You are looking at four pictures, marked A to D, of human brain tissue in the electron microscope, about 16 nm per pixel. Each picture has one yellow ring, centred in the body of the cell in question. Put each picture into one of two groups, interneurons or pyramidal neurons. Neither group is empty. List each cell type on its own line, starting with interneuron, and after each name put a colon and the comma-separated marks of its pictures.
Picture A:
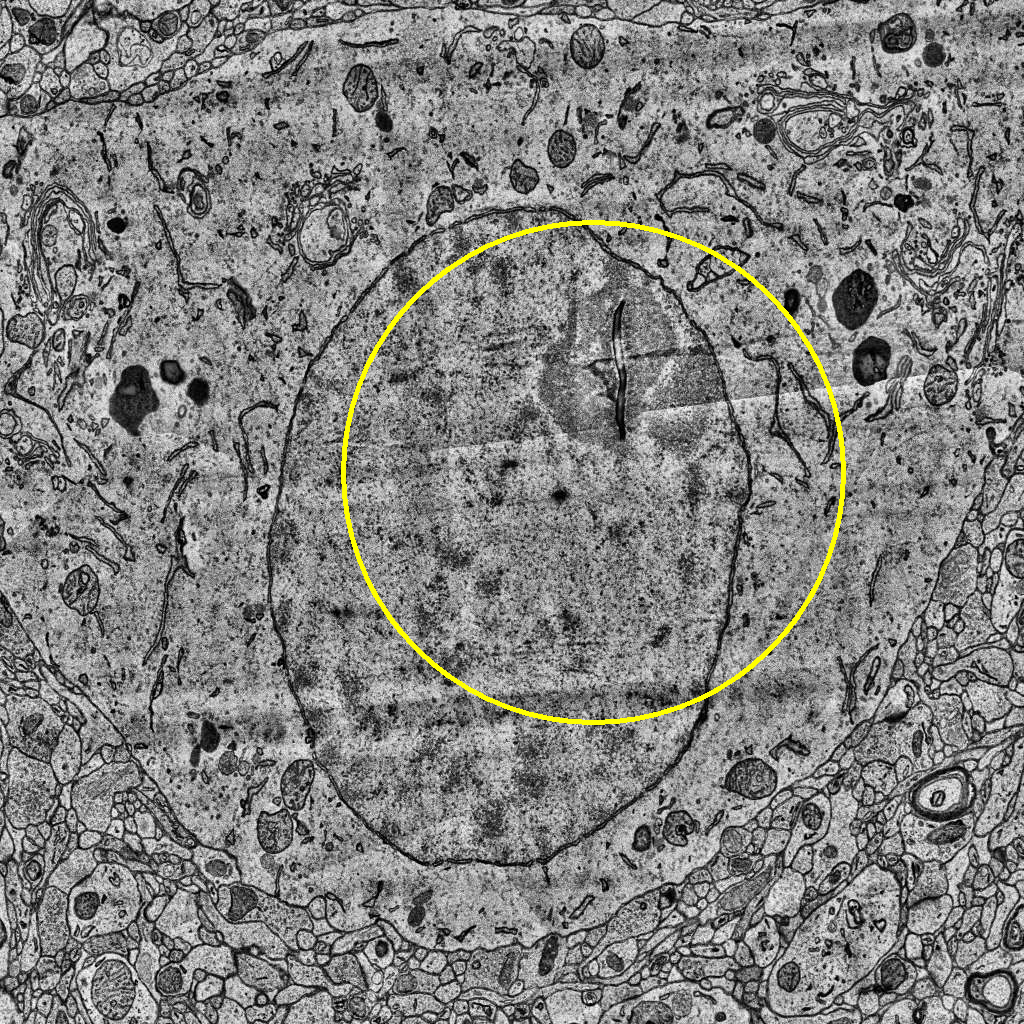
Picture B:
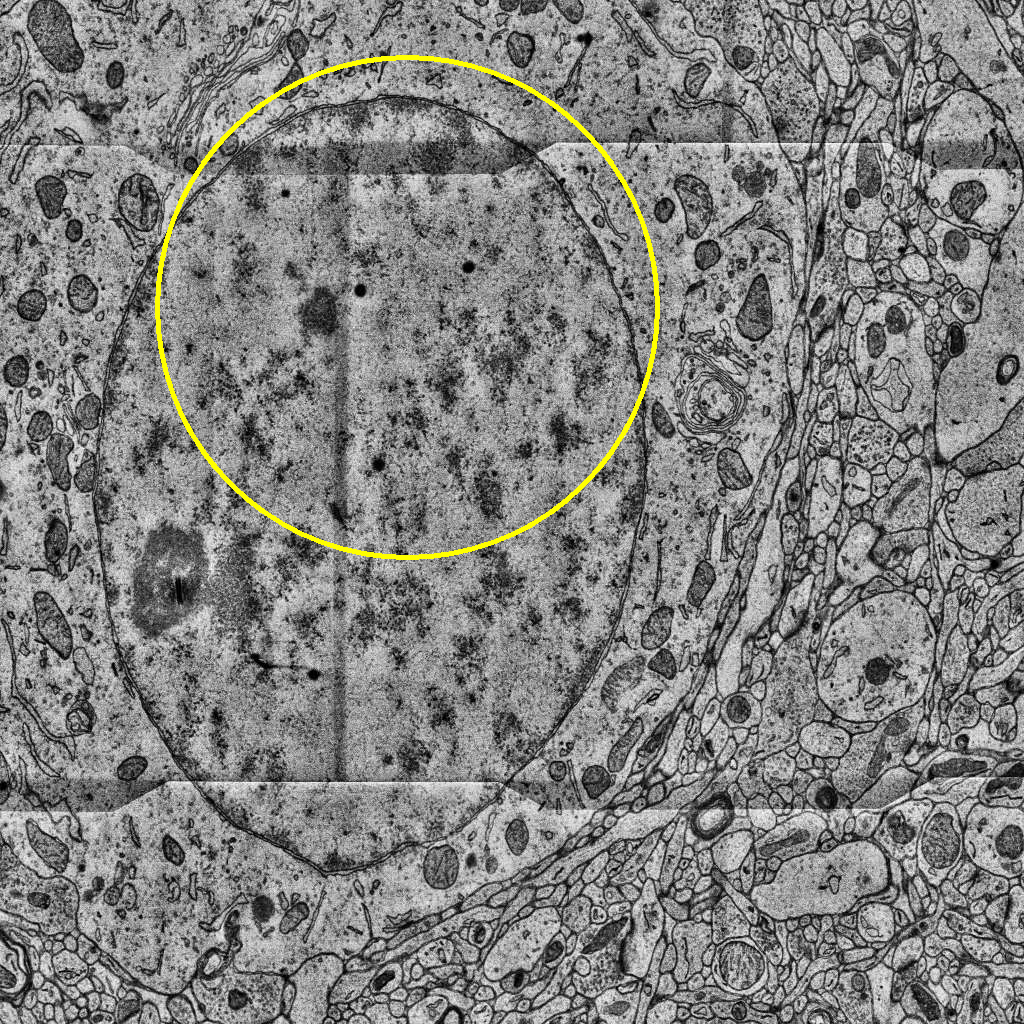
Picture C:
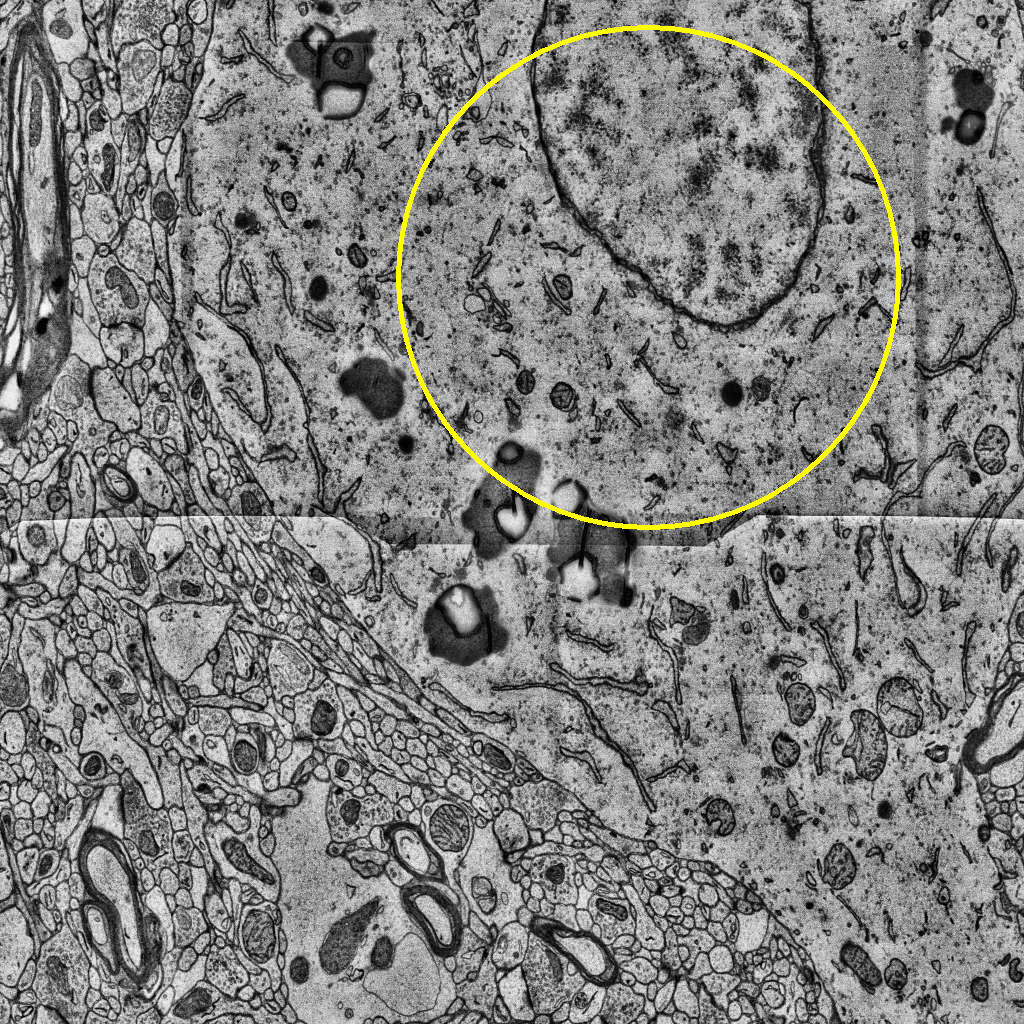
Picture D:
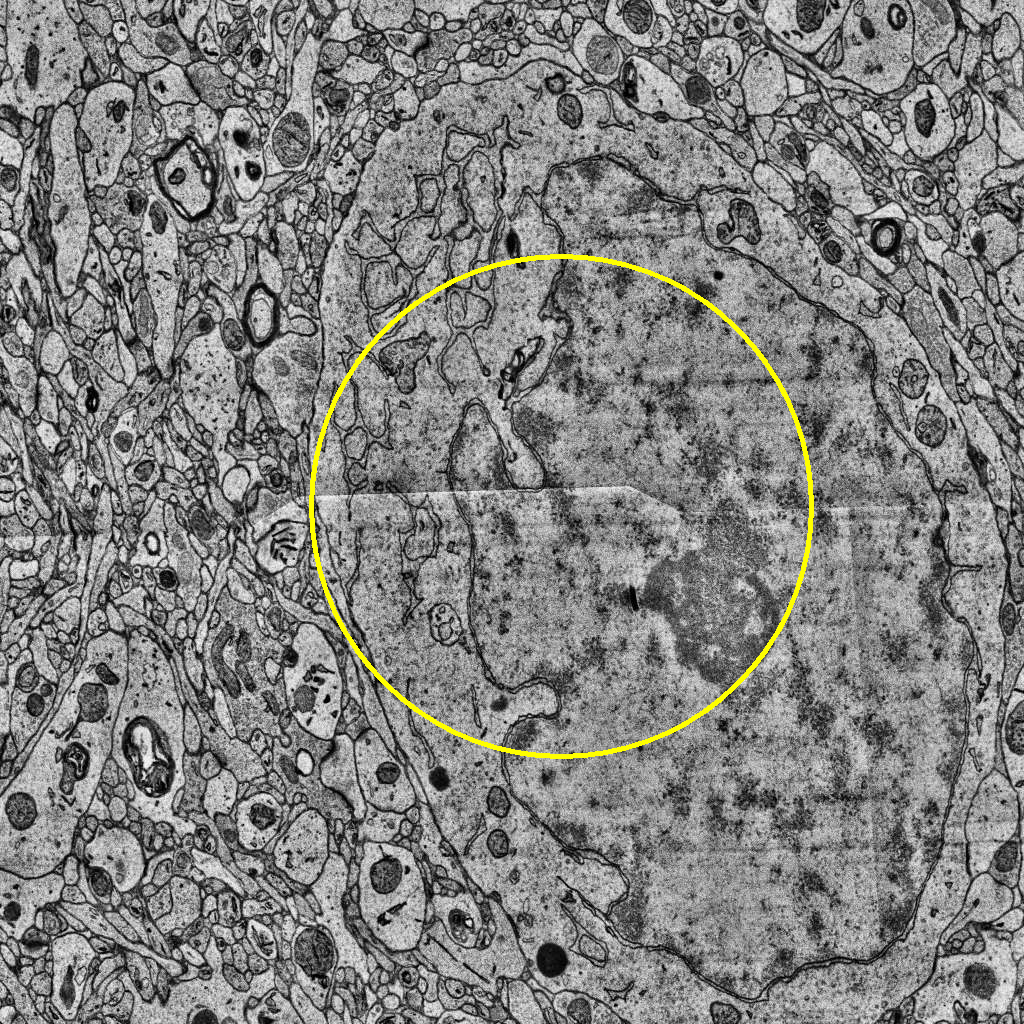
interneuron: B, D
pyramidal neuron: A, C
